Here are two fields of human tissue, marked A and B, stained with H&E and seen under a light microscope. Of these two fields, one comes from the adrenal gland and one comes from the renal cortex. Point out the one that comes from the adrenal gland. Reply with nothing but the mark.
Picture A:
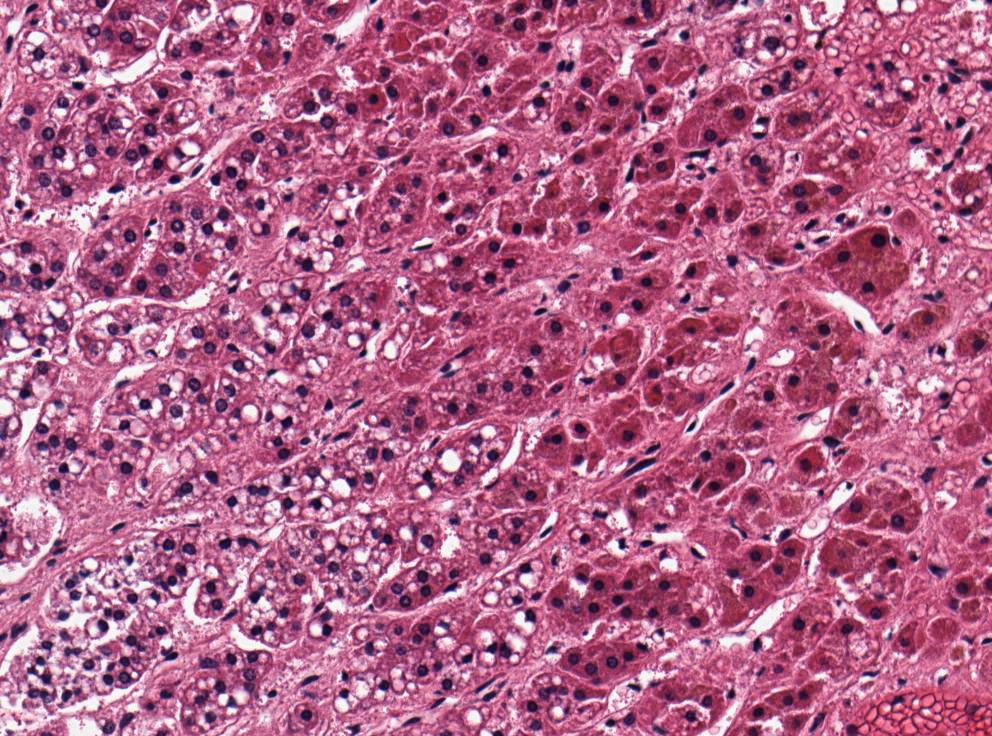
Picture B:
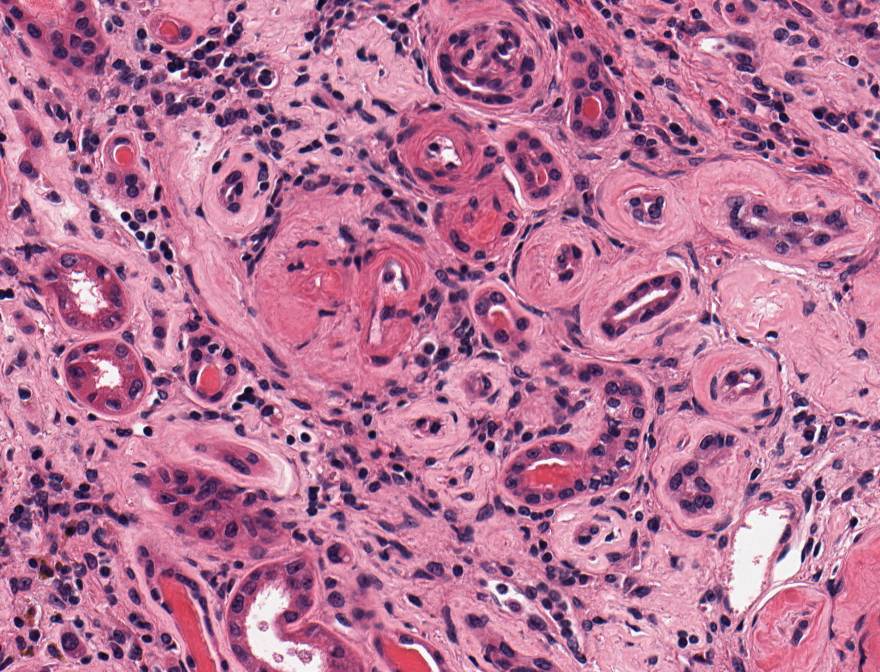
A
